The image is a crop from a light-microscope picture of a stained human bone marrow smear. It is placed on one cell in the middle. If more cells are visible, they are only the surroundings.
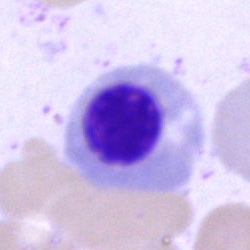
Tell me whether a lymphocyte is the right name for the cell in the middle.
no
